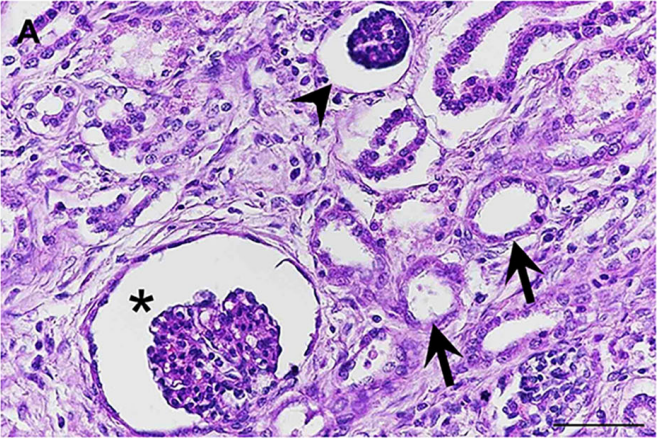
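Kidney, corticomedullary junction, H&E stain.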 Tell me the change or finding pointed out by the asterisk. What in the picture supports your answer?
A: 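Dilatation of Bowman's space. A wide clear space separates the glomerular tuft from its capsule. The glomerular tuft occupies only part of the round capsule.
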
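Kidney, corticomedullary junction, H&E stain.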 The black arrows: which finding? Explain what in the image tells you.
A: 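Dilation of tubules. The marked tubules have wide, empty round lumens. The lining epithelium of the marked tubules is thin and flattened.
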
